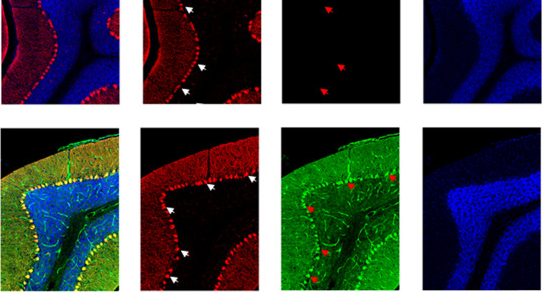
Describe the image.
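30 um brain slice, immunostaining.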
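The folded cortex has a broad outer layer stained finely red and an inner layer densely packed with small blue nuclei. Between them runs a single, evenly spaced row of large, rounded red cell bodies, the Purkinje cells, which arrows pick out. In the lower row the green channel lights up the tissue broadly, including these cell bodies, which appear yellow where red and green overlap in the merged image. In the upper row the green channel is dark.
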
